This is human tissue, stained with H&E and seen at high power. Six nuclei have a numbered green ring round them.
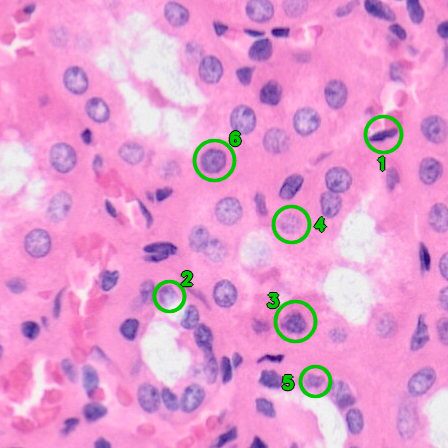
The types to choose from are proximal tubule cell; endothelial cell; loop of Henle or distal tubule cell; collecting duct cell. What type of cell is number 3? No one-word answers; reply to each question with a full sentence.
The cell given label 3 is a proximal tubule cell.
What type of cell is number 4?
In the marked set, the cell given number 4 is a proximal tubule cell.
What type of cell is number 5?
Corresponding to a loop of Henle or distal tubule cell is the cell labelled 5.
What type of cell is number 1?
Among the marked cells, number 1 is an endothelial cell.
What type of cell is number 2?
The marked nucleus 2 is that of a collecting duct cell.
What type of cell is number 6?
The cell numbered 6 has been identified as a proximal tubule cell.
